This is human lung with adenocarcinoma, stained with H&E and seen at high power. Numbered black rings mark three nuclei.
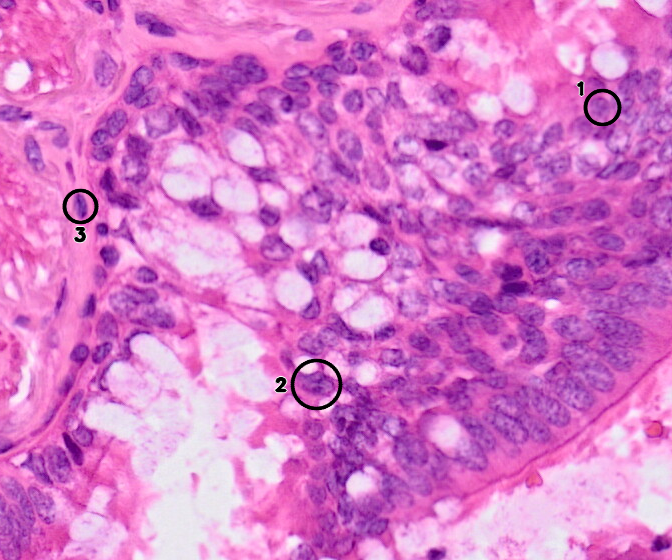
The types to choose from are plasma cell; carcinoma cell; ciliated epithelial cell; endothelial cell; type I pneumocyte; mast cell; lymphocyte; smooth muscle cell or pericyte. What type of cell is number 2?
ciliated epithelial cell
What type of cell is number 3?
mast cell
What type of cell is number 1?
ciliated epithelial cell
